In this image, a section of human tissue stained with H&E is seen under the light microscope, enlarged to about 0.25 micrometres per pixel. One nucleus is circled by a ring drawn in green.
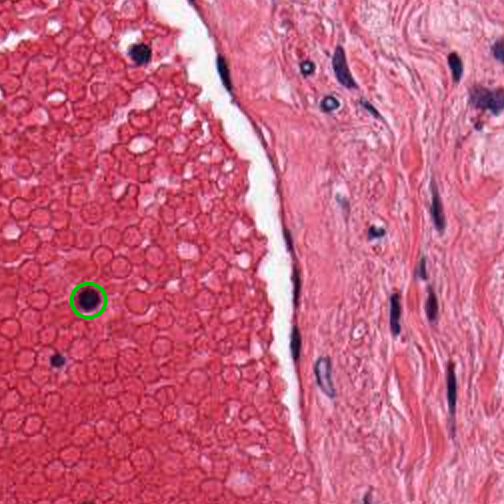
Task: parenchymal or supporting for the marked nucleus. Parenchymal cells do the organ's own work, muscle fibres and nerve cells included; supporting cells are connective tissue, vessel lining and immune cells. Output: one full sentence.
The marked nucleus lies in a supporting cell.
